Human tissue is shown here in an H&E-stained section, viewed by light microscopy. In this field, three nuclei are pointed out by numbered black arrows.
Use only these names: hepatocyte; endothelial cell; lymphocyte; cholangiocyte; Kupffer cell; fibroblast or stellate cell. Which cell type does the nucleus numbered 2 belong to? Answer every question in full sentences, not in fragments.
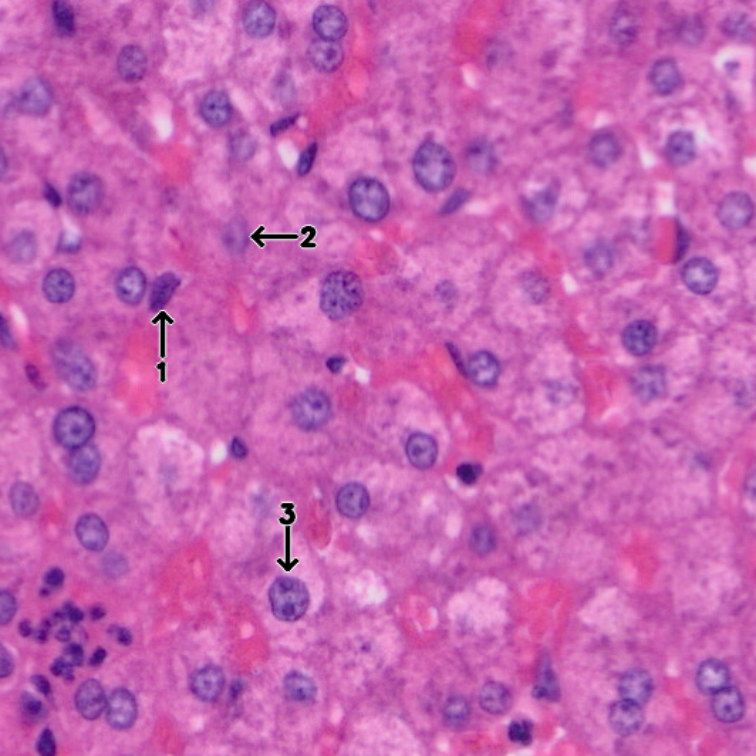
The cell given label 2 is a hepatocyte.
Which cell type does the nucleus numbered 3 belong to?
The nucleus labelled 3 belongs to a hepatocyte.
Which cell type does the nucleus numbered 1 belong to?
The cell referred to as 1 is a fibroblast or stellate cell.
